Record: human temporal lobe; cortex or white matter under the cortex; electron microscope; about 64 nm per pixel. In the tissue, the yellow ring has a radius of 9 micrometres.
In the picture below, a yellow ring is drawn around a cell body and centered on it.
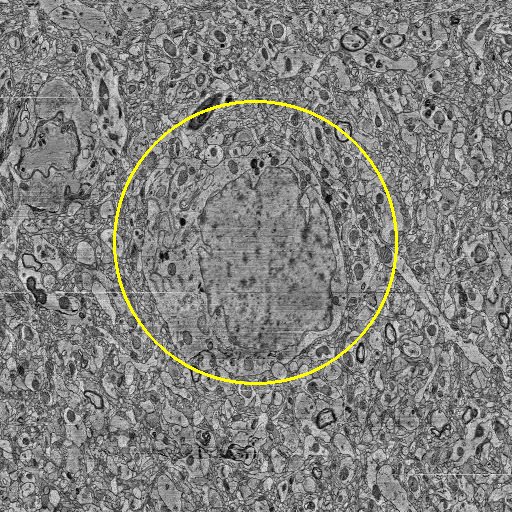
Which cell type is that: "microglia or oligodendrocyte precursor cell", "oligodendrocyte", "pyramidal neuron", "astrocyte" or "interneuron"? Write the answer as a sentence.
The cell centered in the ring is an interneuron.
